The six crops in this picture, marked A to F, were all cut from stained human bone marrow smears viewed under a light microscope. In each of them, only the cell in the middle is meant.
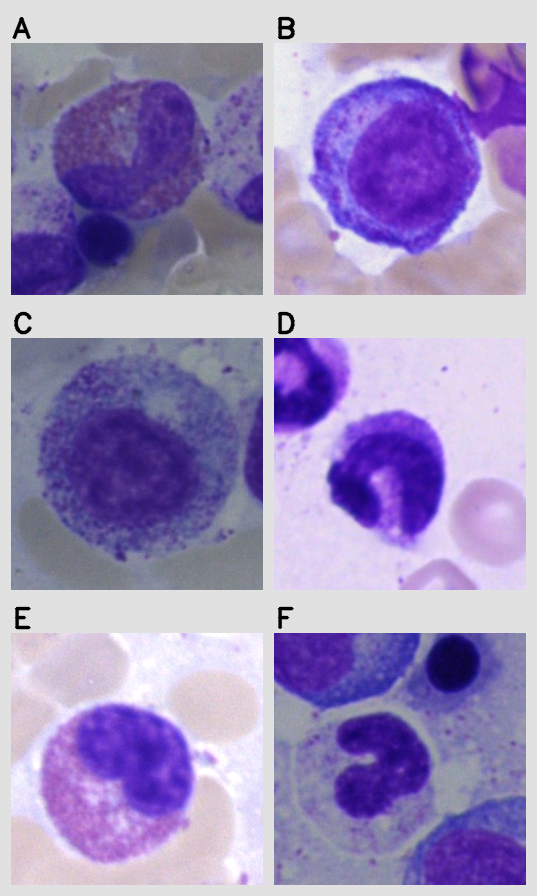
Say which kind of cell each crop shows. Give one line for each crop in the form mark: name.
A: eosinophil
B: promyelocyte
C: promyelocyte
D: band neutrophil
E: eosinophil
F: band neutrophil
